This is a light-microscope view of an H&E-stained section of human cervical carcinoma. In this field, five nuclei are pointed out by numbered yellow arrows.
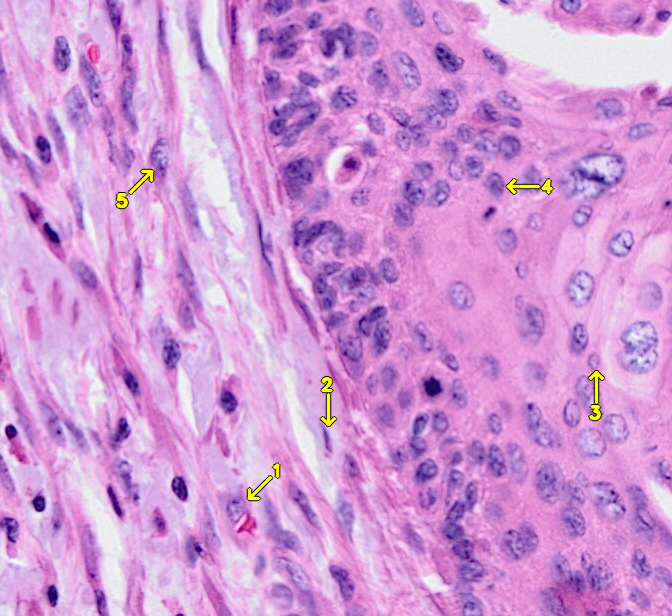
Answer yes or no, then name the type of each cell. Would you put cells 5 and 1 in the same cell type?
Yes, the two numbered cells 5 and 1 are both endothelial cells.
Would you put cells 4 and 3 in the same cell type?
Yes, with respect to identity, cells 4 and 3 are both squamous carcinoma cells.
